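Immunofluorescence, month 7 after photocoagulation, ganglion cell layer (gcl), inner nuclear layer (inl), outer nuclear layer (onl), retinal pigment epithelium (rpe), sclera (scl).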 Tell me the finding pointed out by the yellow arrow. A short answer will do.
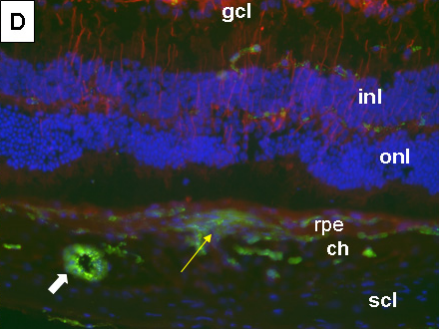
Choroidal neovascularization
